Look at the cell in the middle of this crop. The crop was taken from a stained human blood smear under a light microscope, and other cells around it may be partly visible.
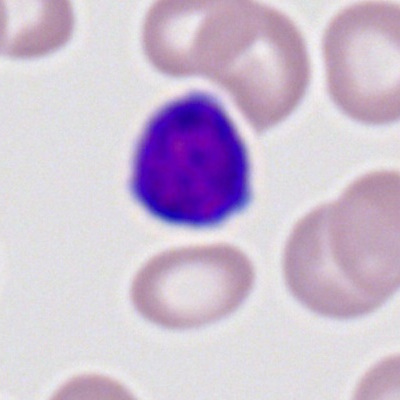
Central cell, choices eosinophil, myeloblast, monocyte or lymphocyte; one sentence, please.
At the crop's centre, the cell is a lymphocyte.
